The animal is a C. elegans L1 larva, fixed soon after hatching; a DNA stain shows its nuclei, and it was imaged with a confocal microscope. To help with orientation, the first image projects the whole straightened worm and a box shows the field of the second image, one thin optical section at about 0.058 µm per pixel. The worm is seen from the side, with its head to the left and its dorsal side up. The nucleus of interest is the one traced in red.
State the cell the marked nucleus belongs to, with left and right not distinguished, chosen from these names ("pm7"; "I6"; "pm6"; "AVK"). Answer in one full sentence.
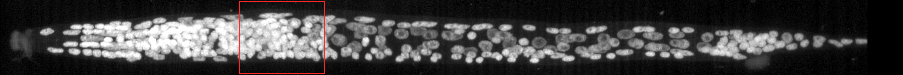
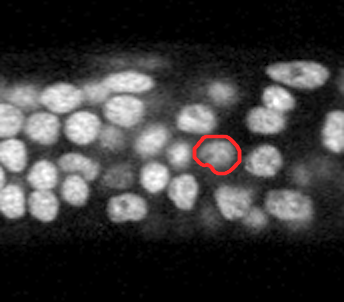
The marked cell is pm6, a pharyngeal muscle cell.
